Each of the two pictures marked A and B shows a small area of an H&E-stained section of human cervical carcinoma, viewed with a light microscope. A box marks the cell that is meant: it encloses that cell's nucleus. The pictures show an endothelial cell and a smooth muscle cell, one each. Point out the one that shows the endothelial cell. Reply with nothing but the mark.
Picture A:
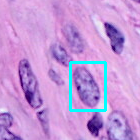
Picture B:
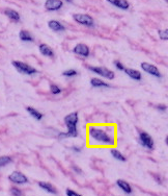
A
